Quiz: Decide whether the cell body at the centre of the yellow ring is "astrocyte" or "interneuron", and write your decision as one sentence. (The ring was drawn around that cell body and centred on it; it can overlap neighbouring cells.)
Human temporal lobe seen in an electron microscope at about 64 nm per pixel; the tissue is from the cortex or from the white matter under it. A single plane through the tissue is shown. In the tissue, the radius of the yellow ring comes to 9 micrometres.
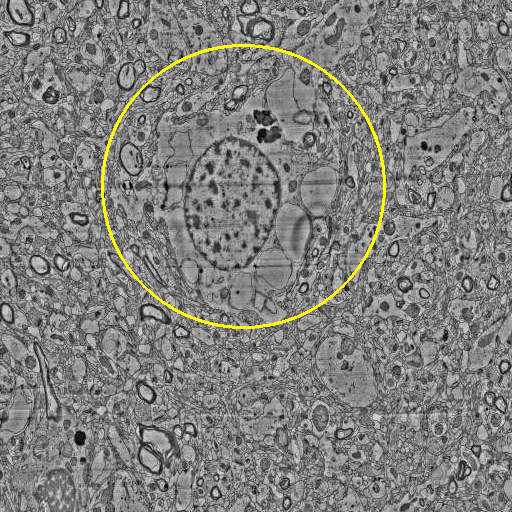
The cell the ring is centred on is an astrocyte.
